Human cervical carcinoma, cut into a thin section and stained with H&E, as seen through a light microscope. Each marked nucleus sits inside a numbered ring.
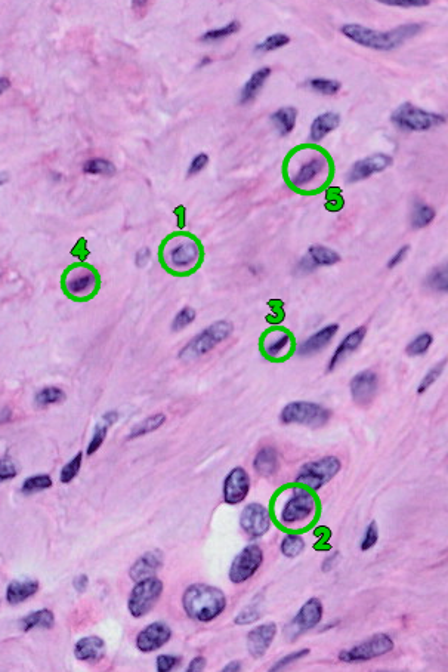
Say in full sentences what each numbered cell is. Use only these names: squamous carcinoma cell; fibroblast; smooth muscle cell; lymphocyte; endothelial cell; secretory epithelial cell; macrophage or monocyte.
Cells 1, 4 and 5 are smooth muscle cells. Cell 2 is an endothelial cell. Cell 3 is a fibroblast.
